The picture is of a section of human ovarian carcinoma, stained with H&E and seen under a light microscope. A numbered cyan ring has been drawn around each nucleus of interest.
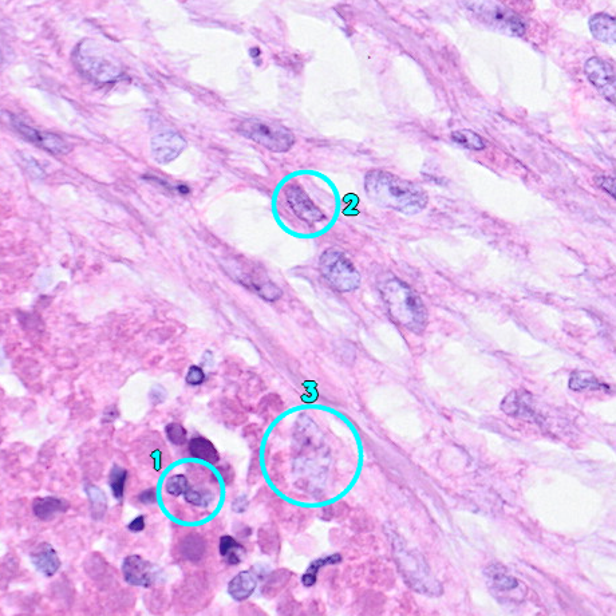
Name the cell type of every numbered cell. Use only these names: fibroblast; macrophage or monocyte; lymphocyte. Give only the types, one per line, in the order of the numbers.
macrophage or monocyte
fibroblast
fibroblast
